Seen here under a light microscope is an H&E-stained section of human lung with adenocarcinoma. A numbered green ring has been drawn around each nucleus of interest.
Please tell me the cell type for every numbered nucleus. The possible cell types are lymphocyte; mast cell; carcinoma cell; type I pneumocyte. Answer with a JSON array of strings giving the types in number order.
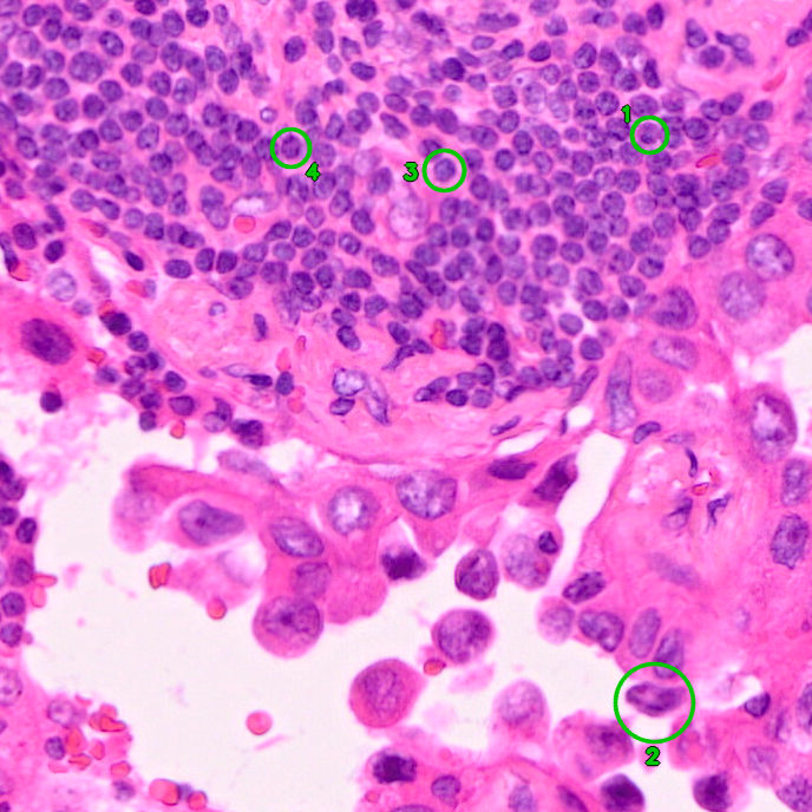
["lymphocyte", "carcinoma cell", "lymphocyte", "lymphocyte"]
